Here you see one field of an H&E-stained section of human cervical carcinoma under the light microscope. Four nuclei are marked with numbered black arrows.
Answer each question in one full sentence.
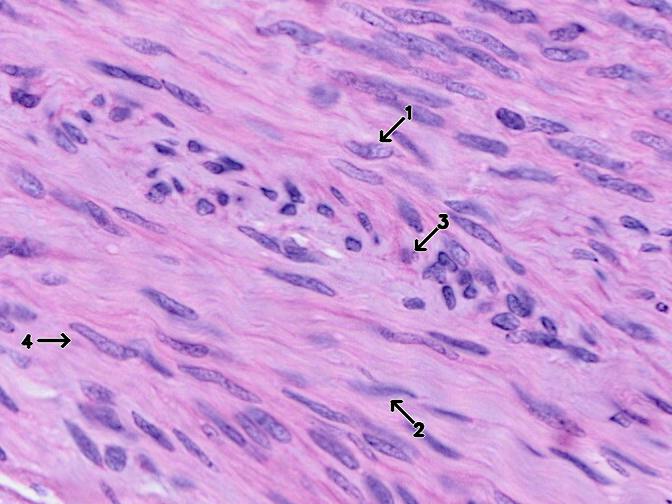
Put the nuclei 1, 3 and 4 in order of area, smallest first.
The order from the smallest nucleus to the largest is 3, 1, 4.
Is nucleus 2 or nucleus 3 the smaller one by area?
It is nucleus 3; nucleus 2 has about 4 times its area.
